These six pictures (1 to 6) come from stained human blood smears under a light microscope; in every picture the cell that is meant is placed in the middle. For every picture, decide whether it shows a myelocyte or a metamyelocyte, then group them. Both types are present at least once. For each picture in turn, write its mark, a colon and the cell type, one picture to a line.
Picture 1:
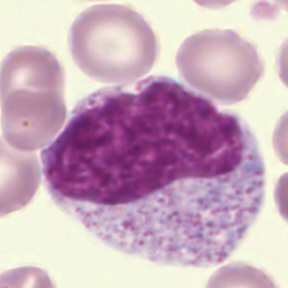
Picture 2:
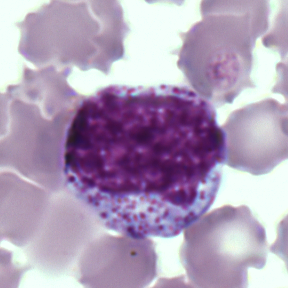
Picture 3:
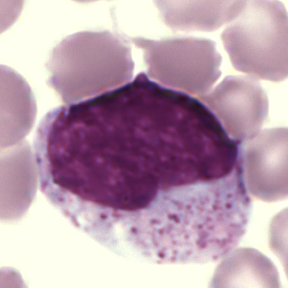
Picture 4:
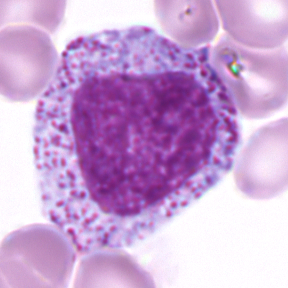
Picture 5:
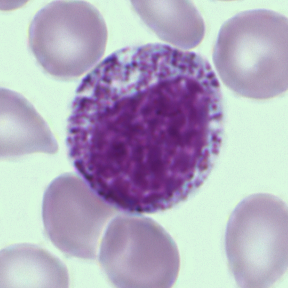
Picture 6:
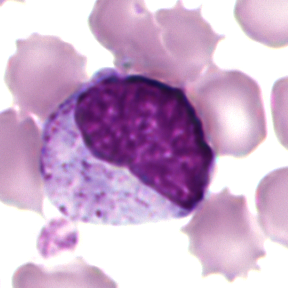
1: myelocyte
2: metamyelocyte
3: myelocyte
4: myelocyte
5: myelocyte
6: metamyelocyte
